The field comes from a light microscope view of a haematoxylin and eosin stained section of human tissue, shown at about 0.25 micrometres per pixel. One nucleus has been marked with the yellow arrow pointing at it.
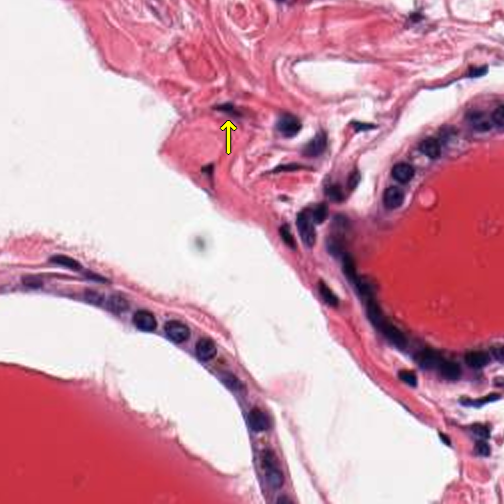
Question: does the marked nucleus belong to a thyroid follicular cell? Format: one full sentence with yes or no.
No, the marked nucleus belongs not to a thyroid follicular cell but to a supporting cell of connective tissue, a vessel or the immune system.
